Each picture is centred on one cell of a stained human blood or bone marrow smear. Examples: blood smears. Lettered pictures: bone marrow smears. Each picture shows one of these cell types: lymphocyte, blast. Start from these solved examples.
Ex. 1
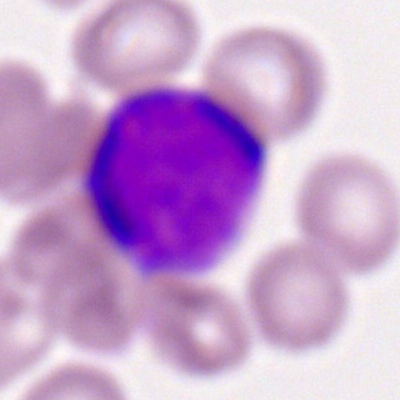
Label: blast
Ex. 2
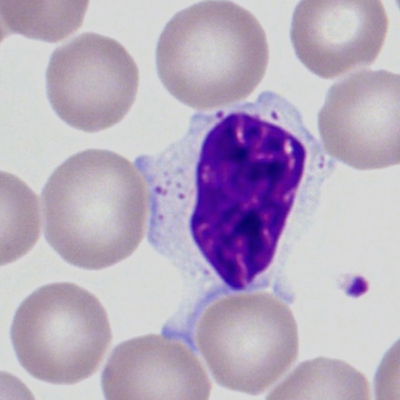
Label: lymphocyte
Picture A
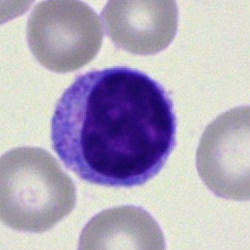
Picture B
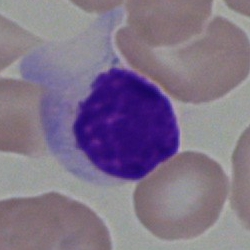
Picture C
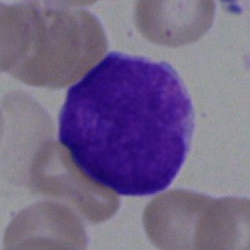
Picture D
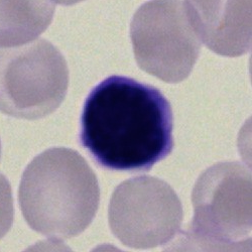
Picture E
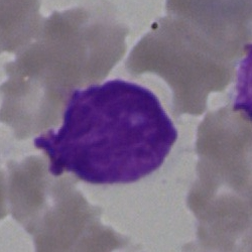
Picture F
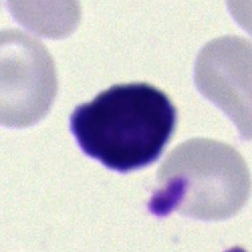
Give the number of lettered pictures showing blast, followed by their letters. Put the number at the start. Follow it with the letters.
Count: 1 (C)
